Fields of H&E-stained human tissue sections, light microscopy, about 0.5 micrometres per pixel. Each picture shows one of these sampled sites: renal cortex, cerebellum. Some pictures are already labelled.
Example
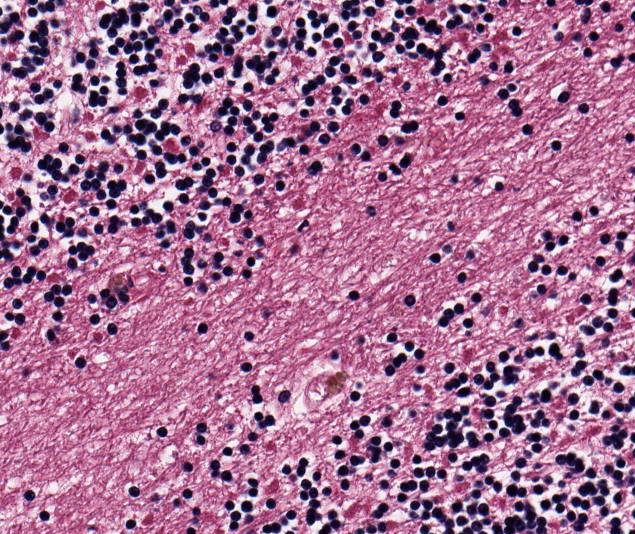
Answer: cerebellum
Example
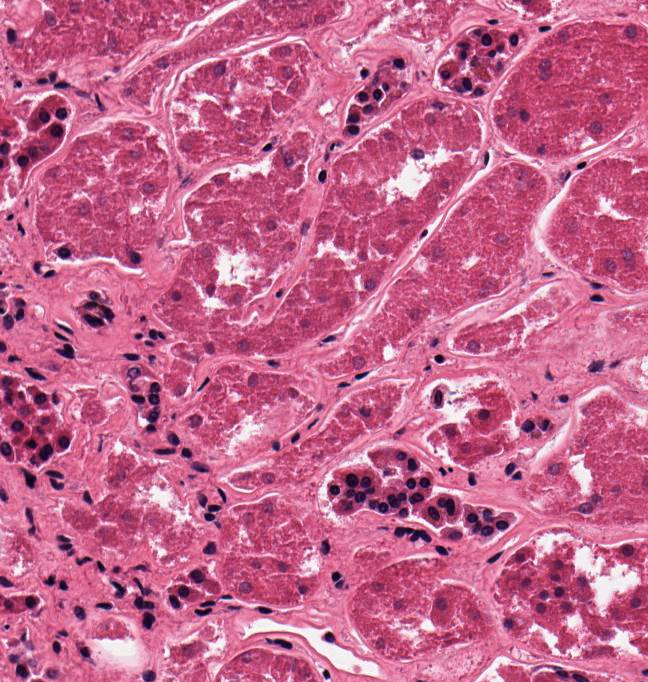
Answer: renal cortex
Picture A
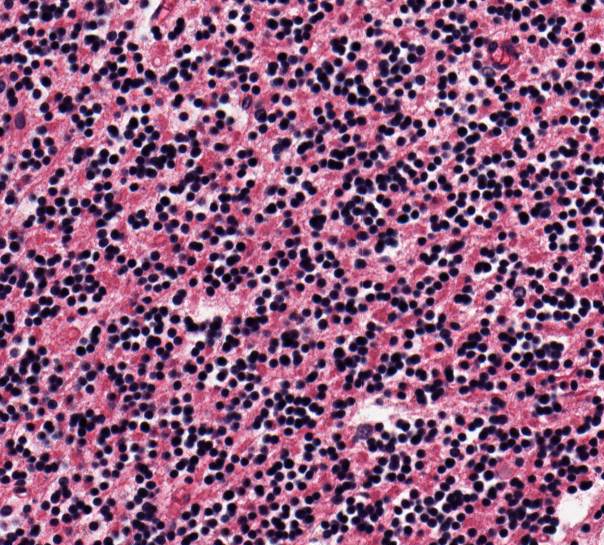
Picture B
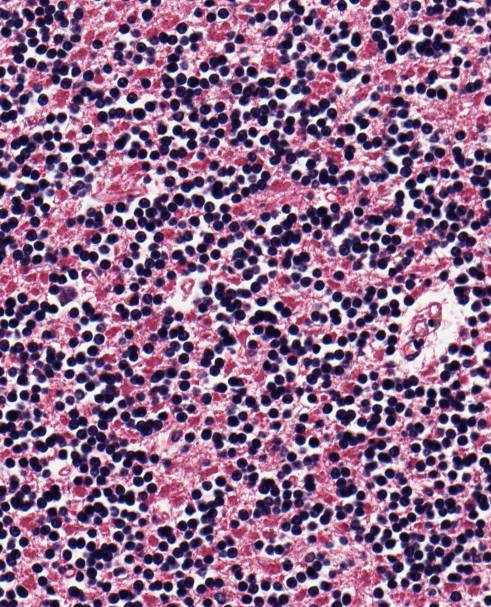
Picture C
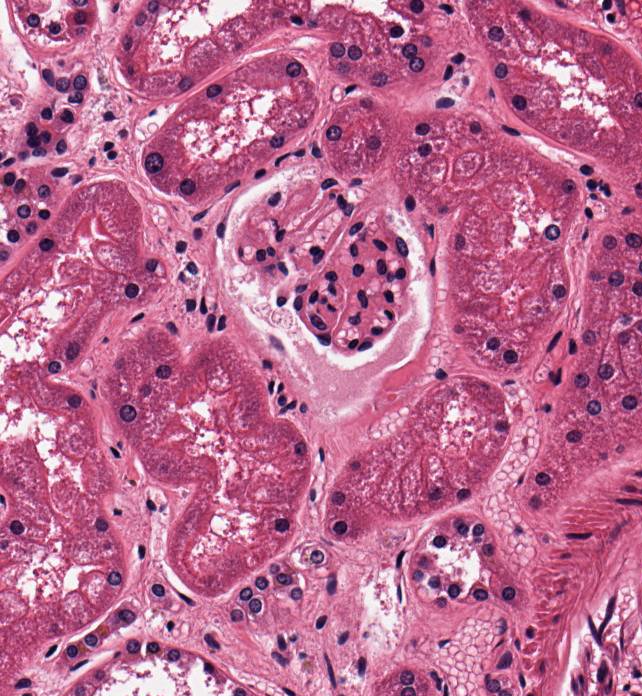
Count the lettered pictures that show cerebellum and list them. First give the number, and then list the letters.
2: A, B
